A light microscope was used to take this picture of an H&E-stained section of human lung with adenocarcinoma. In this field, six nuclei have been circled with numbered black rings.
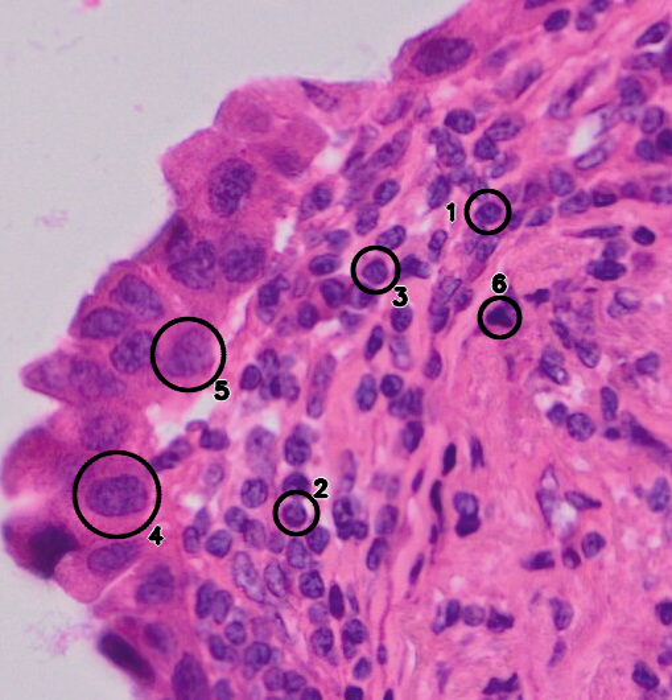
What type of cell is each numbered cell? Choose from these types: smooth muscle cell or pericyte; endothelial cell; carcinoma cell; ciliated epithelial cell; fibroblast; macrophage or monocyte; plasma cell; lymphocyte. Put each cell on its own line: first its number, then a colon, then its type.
1: lymphocyte
2: lymphocyte
3: lymphocyte
4: carcinoma cell
5: carcinoma cell
6: plasma cell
